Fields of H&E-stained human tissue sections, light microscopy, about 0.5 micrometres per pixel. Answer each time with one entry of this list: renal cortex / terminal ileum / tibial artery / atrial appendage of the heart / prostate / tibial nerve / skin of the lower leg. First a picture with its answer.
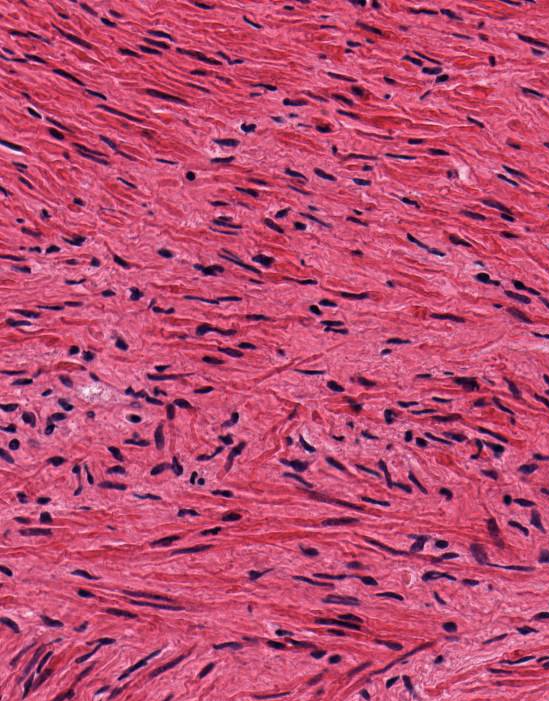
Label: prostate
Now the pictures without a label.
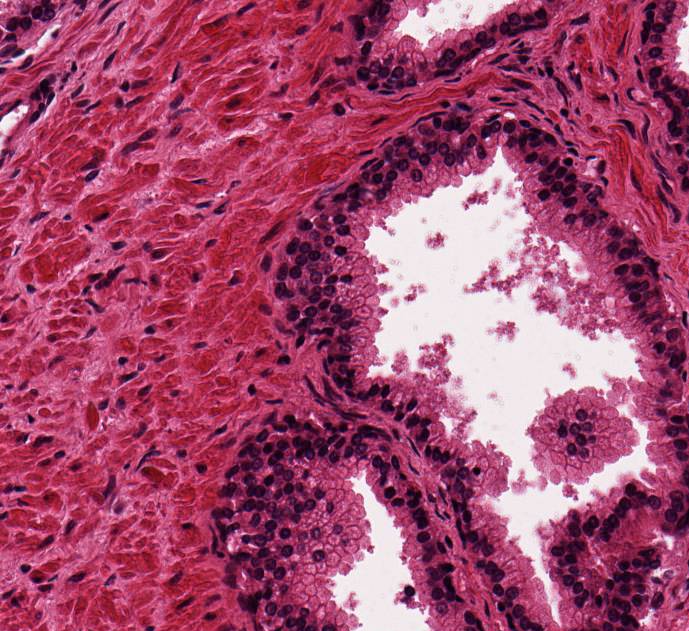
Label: prostate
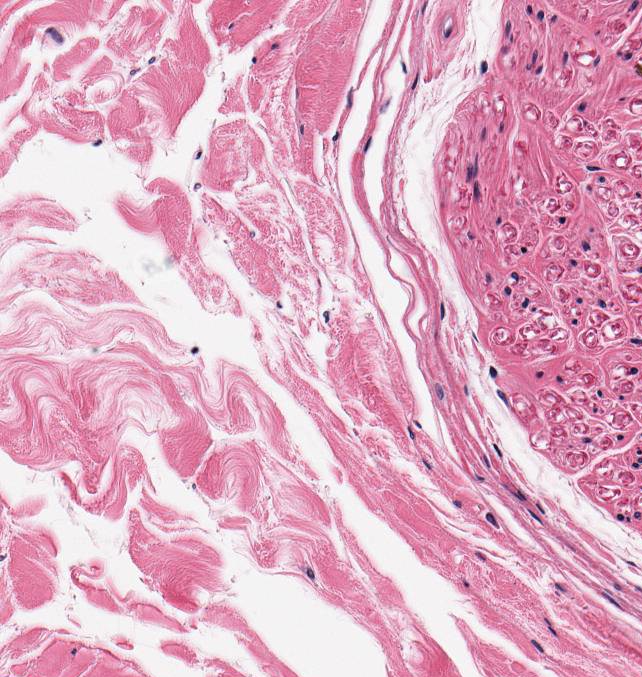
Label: tibial nerve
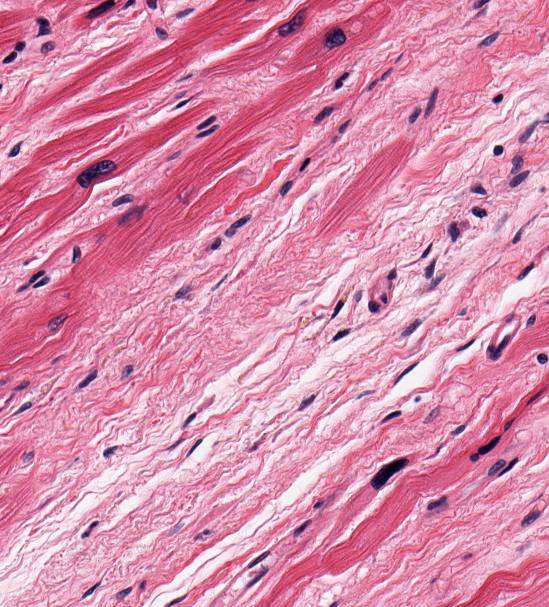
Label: atrial appendage of the heart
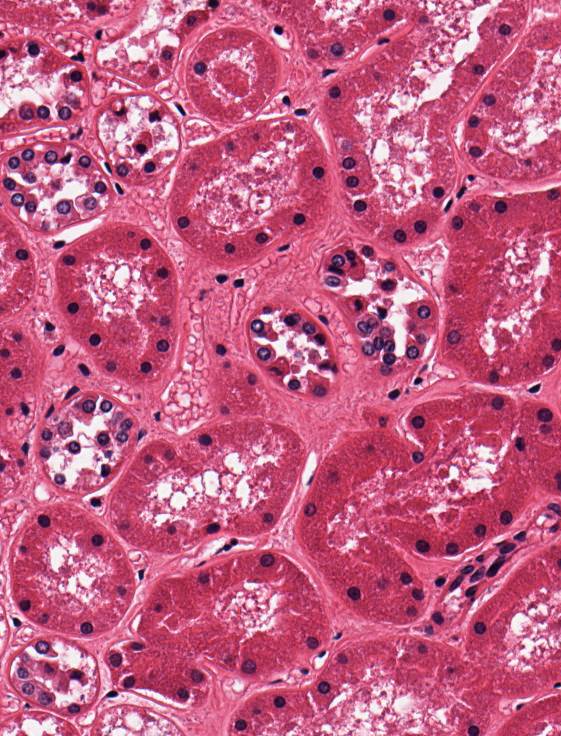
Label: renal cortex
